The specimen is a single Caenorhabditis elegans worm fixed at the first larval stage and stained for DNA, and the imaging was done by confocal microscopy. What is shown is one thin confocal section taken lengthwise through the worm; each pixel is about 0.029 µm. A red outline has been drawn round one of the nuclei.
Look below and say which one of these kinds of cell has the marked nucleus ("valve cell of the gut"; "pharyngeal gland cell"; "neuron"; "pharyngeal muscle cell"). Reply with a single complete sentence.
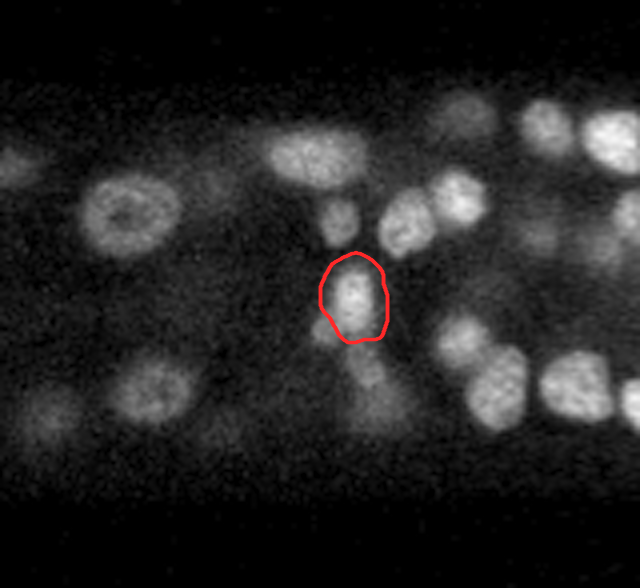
The marked nucleus belongs to a valve cell of the gut.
